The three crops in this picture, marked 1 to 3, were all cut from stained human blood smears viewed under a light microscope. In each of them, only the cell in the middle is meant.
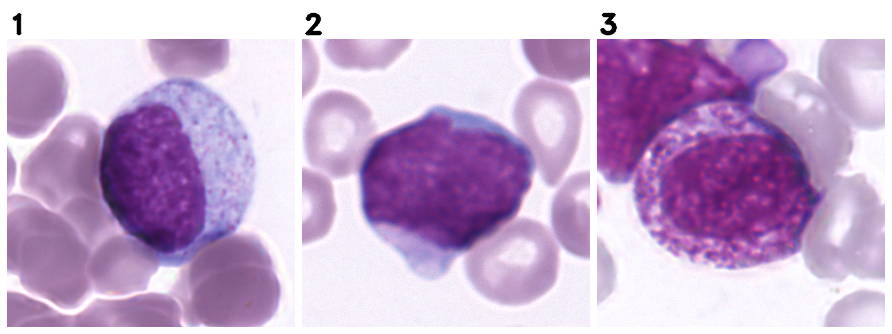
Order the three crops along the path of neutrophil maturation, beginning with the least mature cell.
2, 1, 3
